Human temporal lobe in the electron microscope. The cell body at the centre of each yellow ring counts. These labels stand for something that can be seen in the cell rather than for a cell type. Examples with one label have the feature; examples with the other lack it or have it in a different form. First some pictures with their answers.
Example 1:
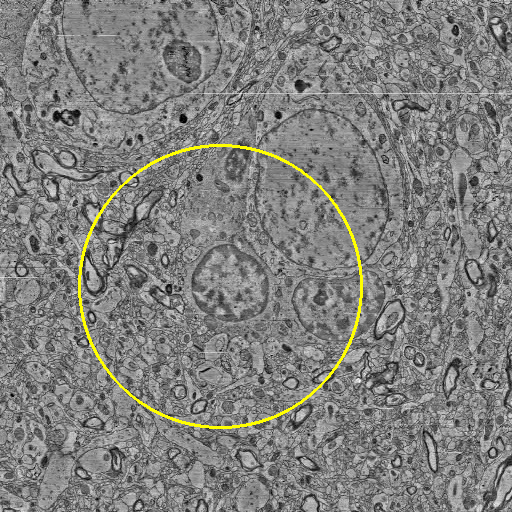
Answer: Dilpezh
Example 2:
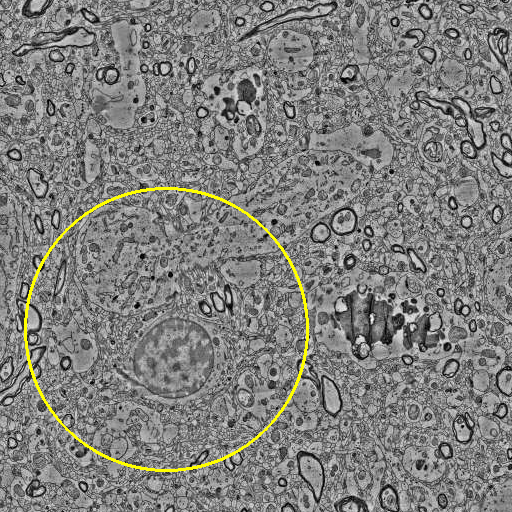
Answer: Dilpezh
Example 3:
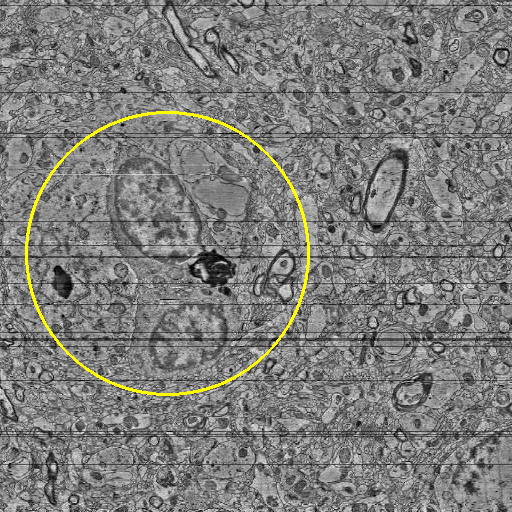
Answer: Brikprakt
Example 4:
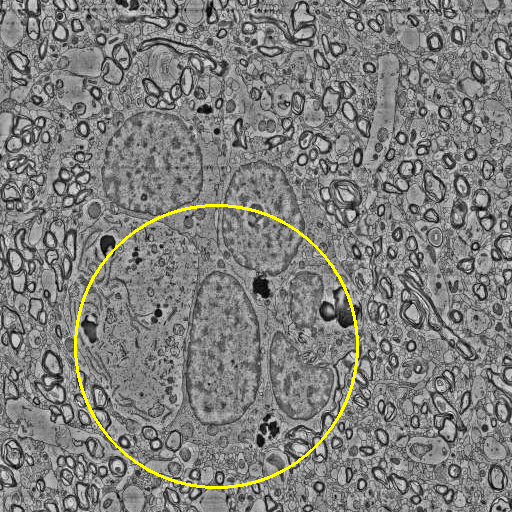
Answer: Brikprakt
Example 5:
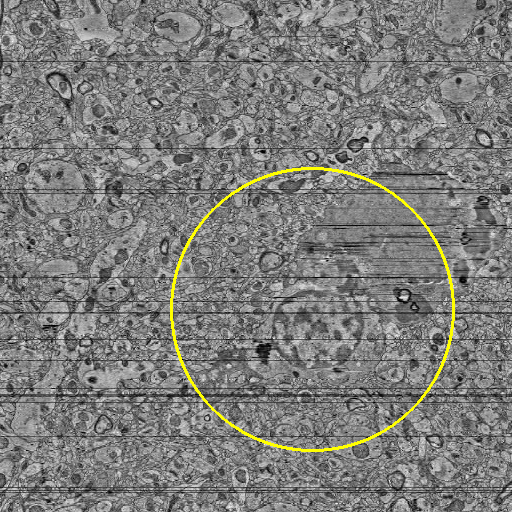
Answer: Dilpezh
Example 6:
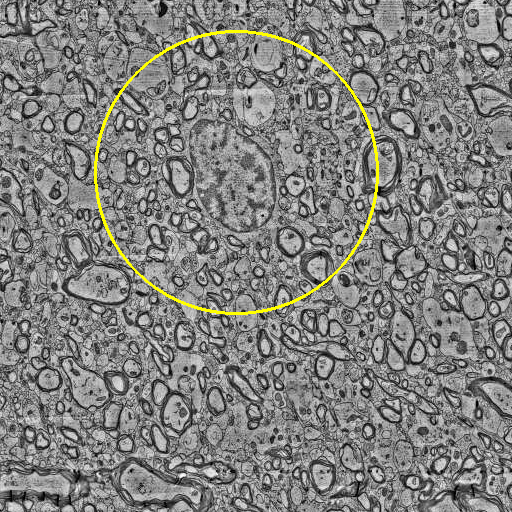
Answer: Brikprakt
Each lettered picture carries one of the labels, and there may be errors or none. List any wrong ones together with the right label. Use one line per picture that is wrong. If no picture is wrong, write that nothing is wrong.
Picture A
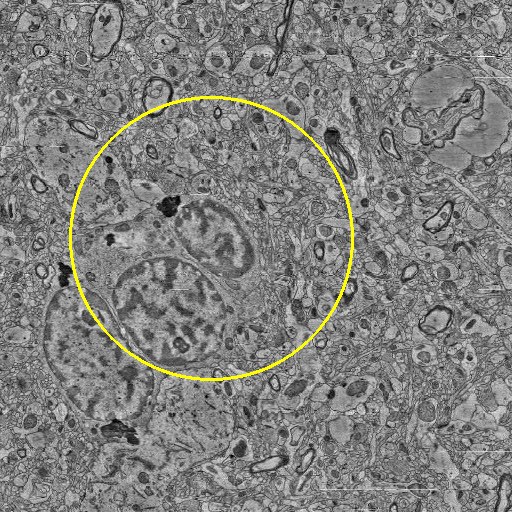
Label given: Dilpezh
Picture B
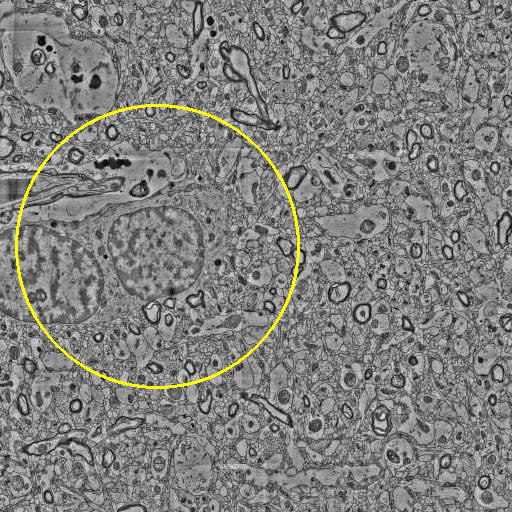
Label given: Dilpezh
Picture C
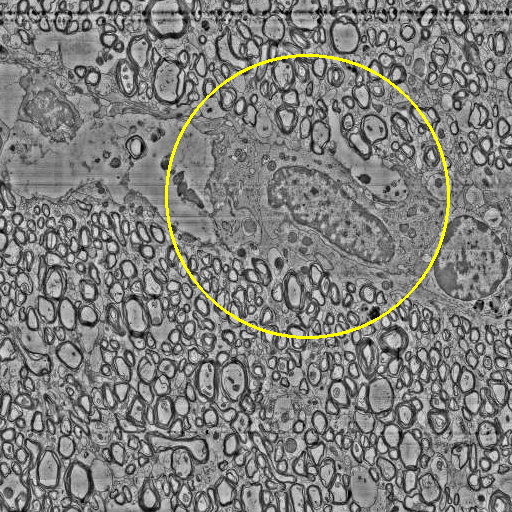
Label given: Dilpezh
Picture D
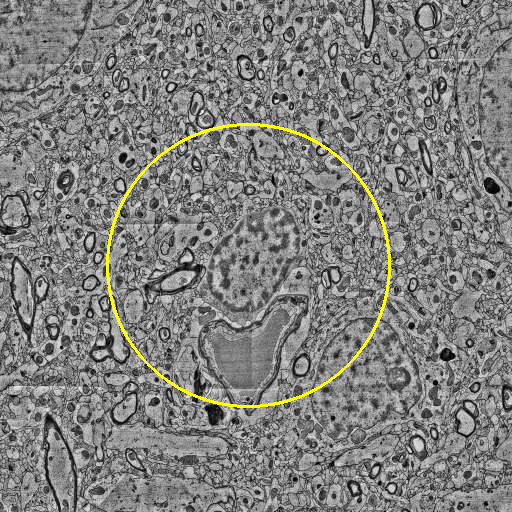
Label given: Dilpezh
A: change Dilpezh to Brikprakt
C: change Dilpezh to Brikprakt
